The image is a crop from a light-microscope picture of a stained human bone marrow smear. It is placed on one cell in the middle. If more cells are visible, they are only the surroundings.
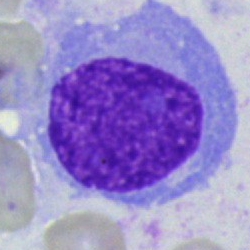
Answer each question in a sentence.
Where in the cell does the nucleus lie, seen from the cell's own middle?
The nucleus sits off-centre, toward the lower left.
